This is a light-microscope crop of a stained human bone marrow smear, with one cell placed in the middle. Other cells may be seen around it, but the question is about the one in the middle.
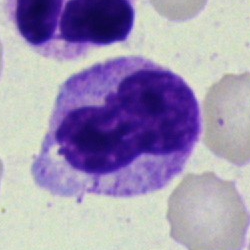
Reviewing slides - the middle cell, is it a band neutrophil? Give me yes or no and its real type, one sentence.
Yes, the cell found in the middle is a band neutrophil.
